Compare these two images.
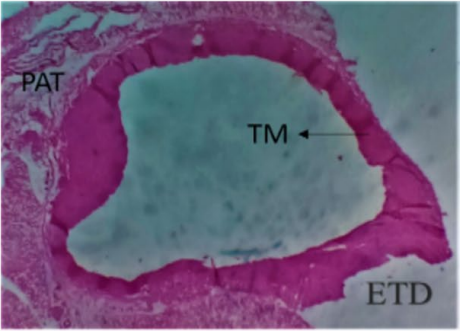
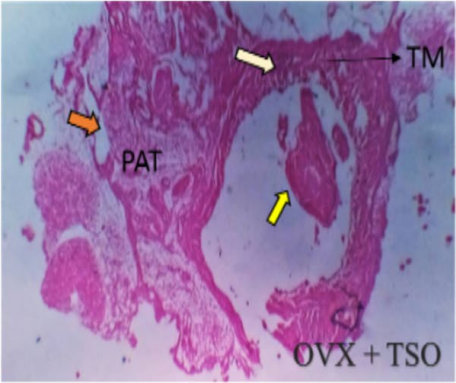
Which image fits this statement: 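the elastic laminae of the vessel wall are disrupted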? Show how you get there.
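The second image. Second image: the wall is irregular, broken up and frayed, without a smooth continuous band.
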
